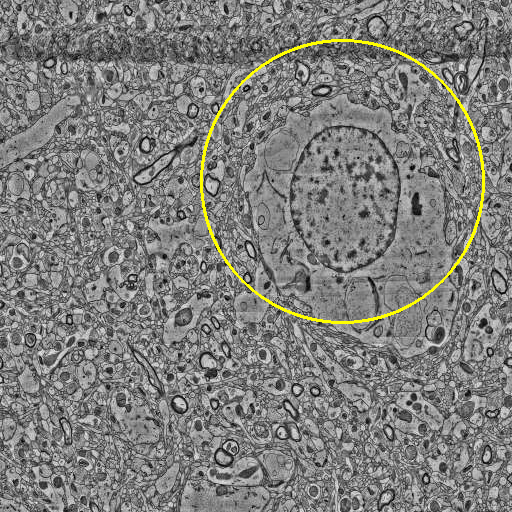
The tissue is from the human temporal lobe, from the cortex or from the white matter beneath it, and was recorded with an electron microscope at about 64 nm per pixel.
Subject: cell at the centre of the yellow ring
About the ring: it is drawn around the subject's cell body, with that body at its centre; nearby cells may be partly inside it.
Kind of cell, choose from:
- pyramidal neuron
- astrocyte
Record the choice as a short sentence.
The subject cell is an astrocyte.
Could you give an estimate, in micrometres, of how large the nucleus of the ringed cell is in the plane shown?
The nucleus has a long axis of about 9 micrometres and a short axis of about 7 micrometres in this plane.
